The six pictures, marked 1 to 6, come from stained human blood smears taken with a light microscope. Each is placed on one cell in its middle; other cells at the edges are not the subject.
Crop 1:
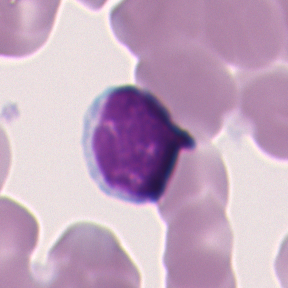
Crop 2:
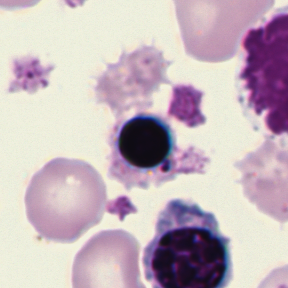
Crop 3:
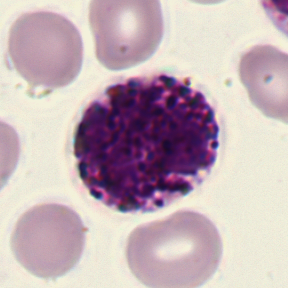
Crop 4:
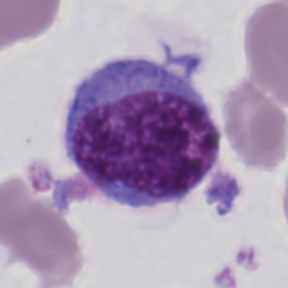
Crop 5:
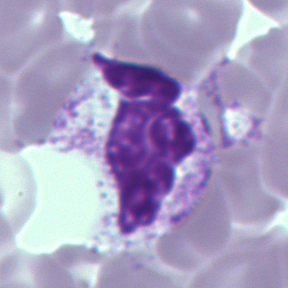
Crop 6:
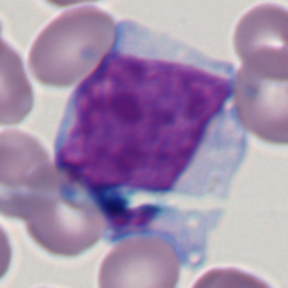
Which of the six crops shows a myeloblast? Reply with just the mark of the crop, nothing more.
6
